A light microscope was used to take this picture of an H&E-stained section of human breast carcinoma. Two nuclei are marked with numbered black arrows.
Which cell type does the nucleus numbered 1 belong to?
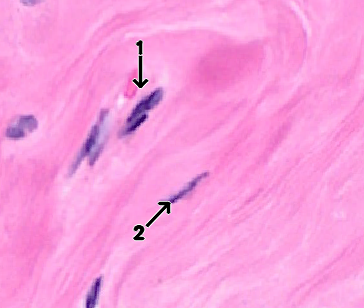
endothelial cell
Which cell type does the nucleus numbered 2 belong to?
fibroblast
